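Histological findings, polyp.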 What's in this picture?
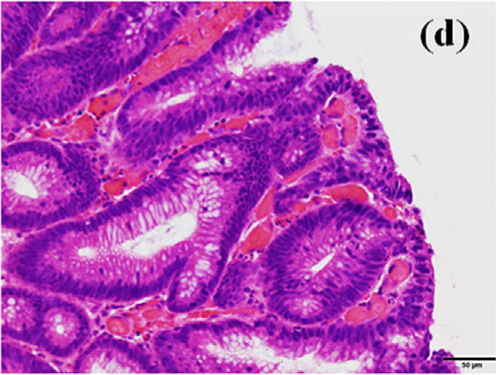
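Dysplastic glandular epithelium: tubular glands, cut lengthwise and across, are lined by crowded columnar cells with dark purple, elongated, cigar-shaped nuclei that are packed side by side and stacked well up into the cells. The glands lie close together, separated by thin strands of stroma that contain dilated capillaries filled with red blood cells. The glands open toward the surface at the upper right, where the same dark lining covers the top of the mucosa.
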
